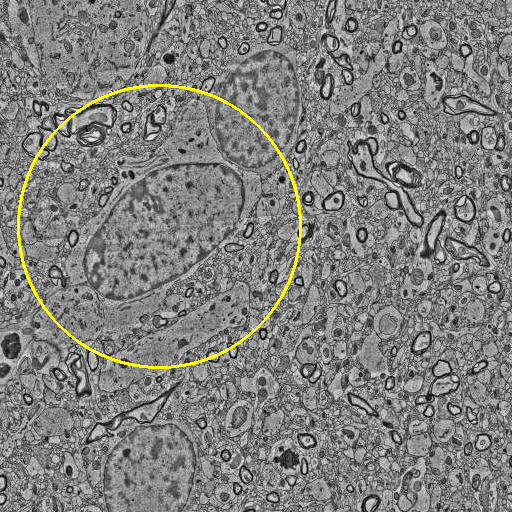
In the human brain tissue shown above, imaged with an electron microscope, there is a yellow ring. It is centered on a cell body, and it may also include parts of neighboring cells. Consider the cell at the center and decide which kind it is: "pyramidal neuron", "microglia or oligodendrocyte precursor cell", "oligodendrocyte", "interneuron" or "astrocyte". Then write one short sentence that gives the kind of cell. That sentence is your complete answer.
This centered cell body is that of a microglial cell or oligodendrocyte precursor cell.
